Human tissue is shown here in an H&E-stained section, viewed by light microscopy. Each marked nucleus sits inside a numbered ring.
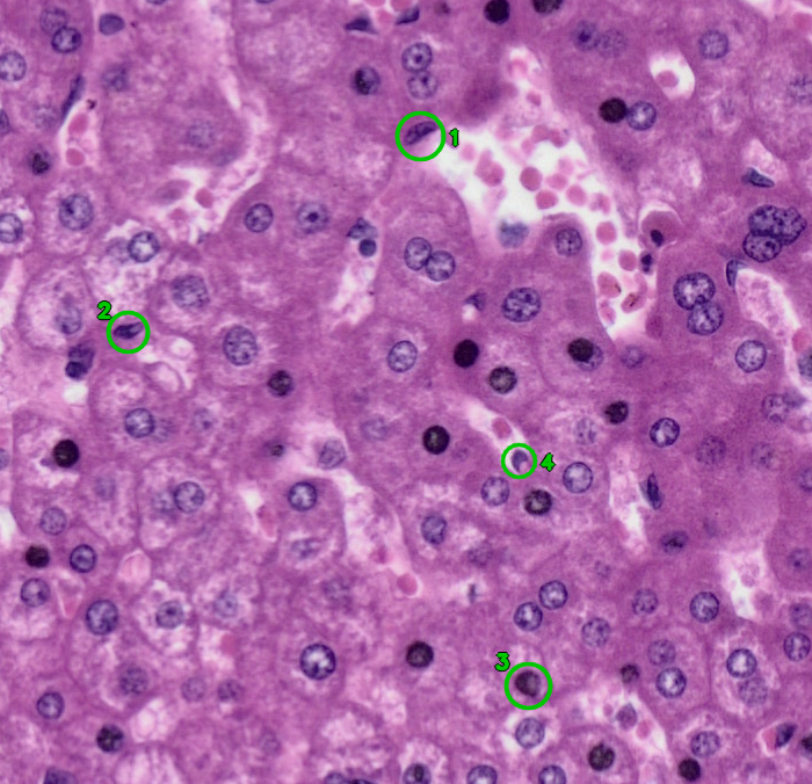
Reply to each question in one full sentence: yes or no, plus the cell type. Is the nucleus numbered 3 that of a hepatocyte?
Yes, it is a hepatocyte that carries the number 3.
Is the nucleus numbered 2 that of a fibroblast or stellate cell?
Yes, number 2 marks a cell that is a fibroblast or stellate cell.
